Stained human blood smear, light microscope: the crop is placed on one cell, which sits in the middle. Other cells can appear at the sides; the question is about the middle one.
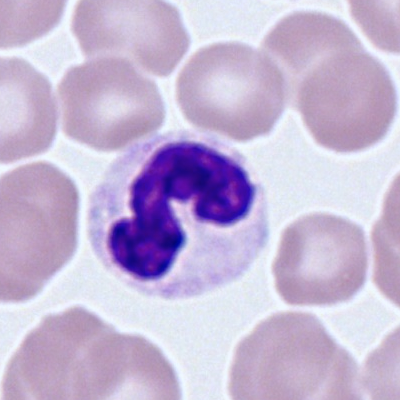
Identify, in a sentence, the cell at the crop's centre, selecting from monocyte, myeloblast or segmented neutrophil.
The cell nearest the centre of this crop is a segmented neutrophil.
